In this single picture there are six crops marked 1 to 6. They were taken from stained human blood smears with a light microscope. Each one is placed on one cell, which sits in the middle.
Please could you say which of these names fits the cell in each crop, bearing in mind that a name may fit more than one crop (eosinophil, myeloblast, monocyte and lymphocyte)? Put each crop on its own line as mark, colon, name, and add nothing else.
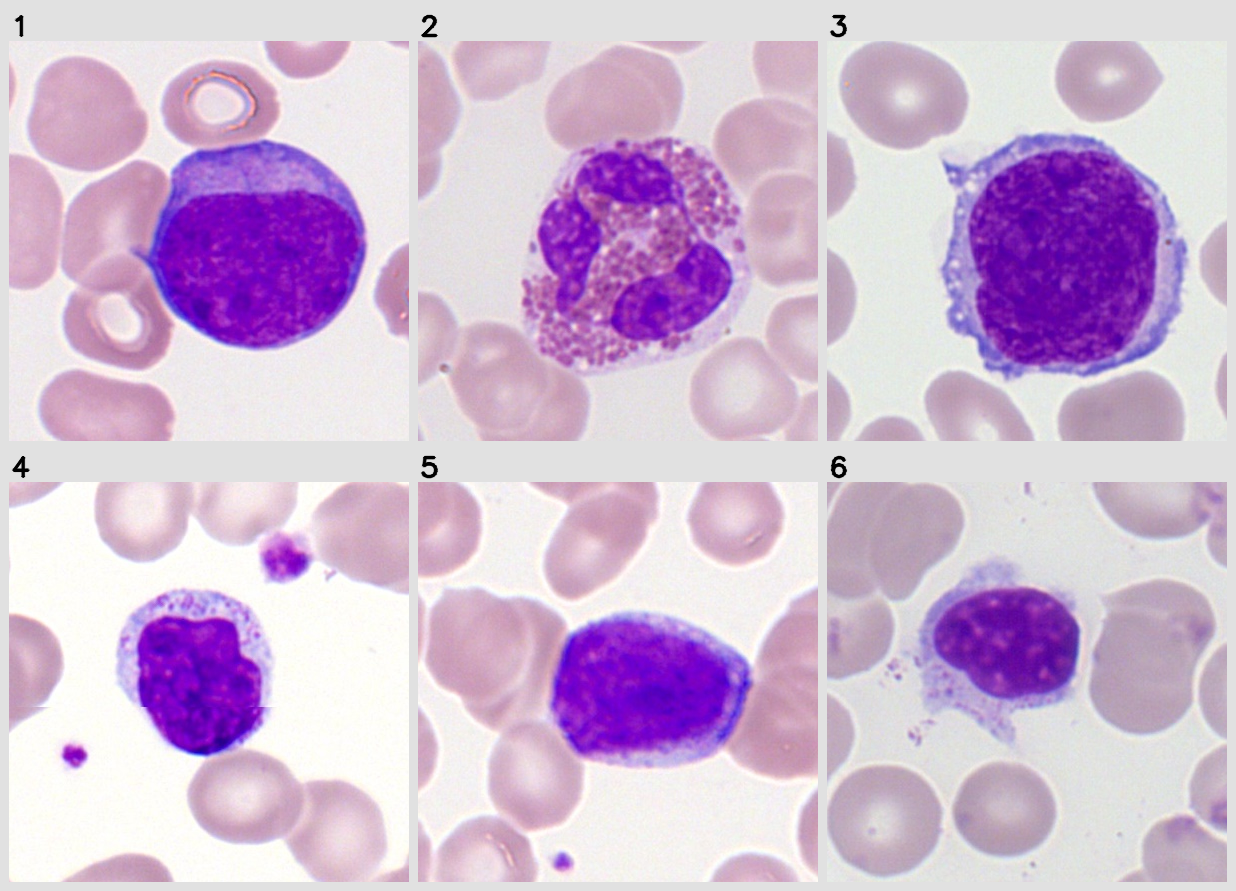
1: myeloblast
2: eosinophil
3: myeloblast
4: lymphocyte
5: myeloblast
6: lymphocyte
